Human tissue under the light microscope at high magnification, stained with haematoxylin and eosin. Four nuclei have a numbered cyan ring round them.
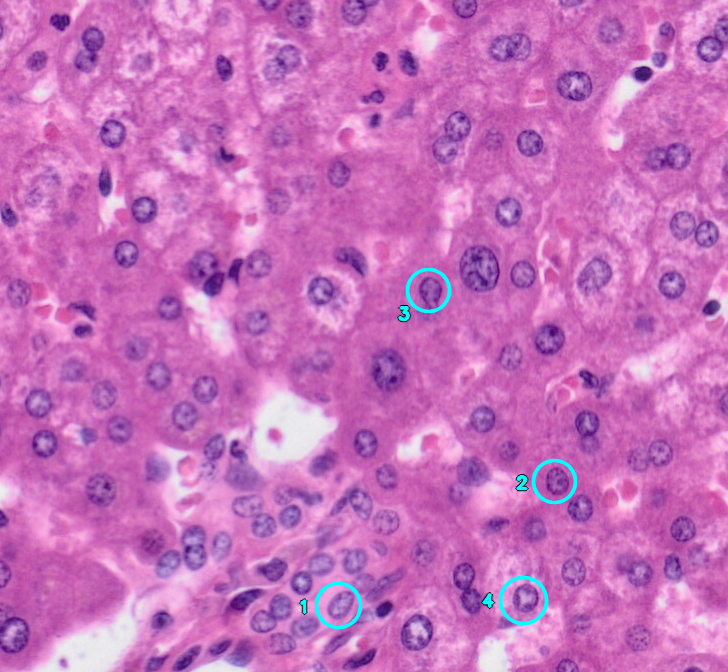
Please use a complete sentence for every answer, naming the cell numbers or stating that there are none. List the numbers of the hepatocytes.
Classified as hepatocytes are the cells numbered 2, 3 and 4.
